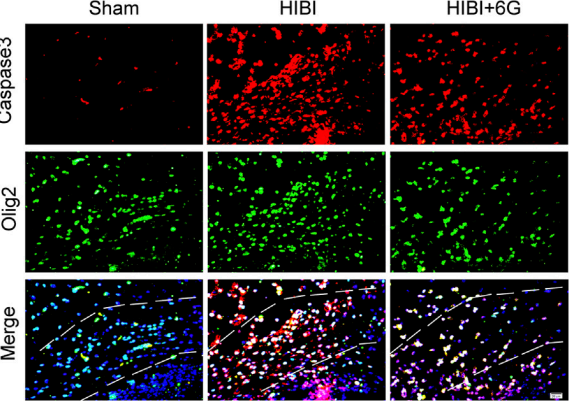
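The green signal forms many small, round to oval dots the size of nuclei, scattered fairly evenly through the tissue. The red signal is very sparse in the left column, but forms many dense, irregular clusters of dots in the middle column and numerous scattered dots in the right column. In the merged images, blue nuclei fill the field, and cells where red and green overlap appear white to yellow, most numerous in the middle column.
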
